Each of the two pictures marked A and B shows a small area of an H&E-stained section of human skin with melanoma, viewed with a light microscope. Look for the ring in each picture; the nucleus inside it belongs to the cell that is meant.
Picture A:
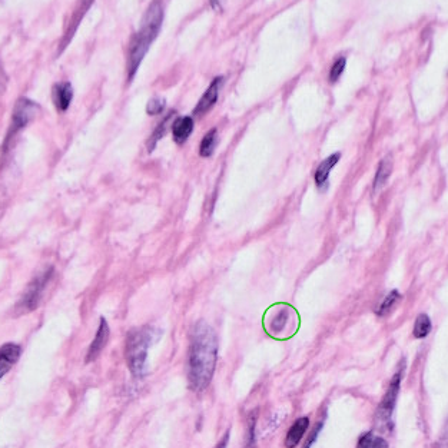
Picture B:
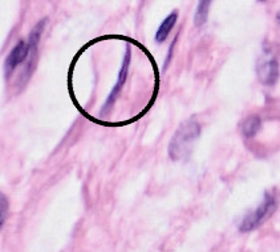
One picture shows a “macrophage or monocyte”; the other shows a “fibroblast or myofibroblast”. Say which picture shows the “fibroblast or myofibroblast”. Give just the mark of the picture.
B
